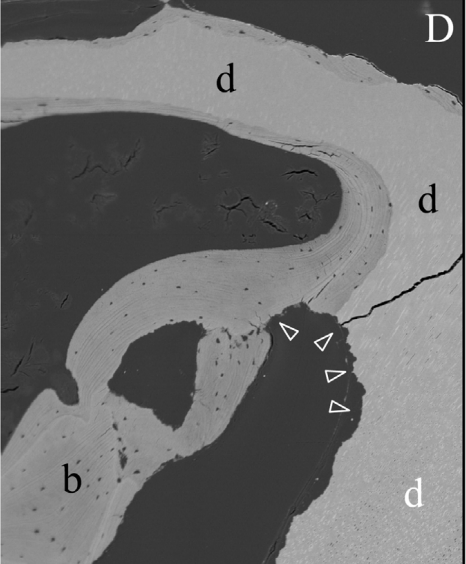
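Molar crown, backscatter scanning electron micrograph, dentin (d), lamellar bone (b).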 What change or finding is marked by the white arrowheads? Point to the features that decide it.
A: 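Sites of active resorption. The arrowheads line an irregular, scalloped edge of the bright mineralized tissue. The scalloped edge borders a dark space between two bright mineralized masses.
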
